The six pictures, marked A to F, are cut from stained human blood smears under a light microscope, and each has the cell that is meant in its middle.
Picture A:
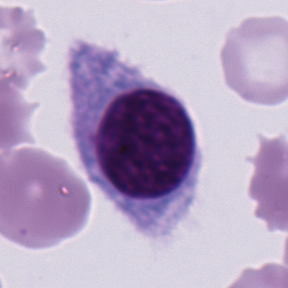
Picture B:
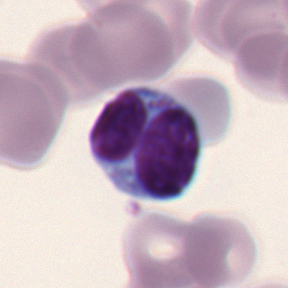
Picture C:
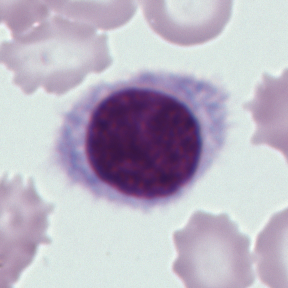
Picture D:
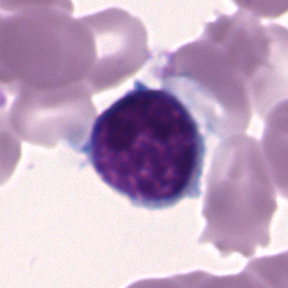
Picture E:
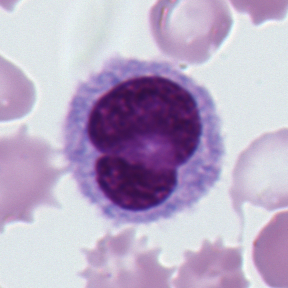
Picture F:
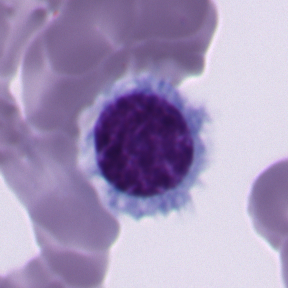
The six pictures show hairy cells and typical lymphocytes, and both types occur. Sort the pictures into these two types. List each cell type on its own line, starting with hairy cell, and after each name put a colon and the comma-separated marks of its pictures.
hairy cell: A, C, E, F
typical lymphocyte: B, D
